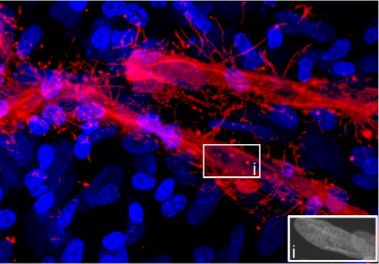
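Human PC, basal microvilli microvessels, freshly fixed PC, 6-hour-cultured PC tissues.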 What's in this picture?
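A boxed region on a vessel wall contains an elongated, spindle-shaped endothelial nucleus, shown enlarged in grey in the inset. The surrounding cell nuclei are rounder and densely packed.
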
